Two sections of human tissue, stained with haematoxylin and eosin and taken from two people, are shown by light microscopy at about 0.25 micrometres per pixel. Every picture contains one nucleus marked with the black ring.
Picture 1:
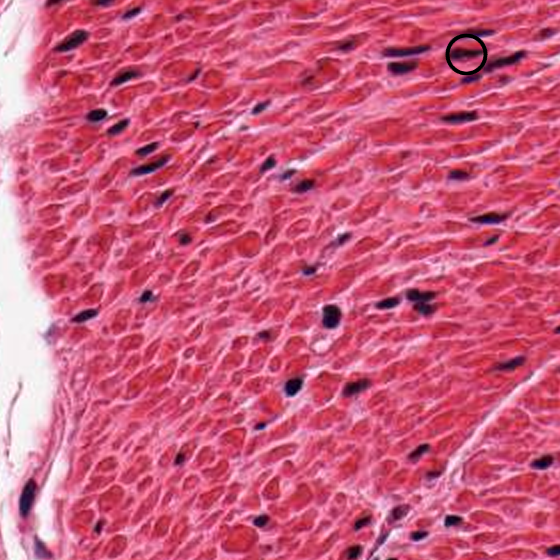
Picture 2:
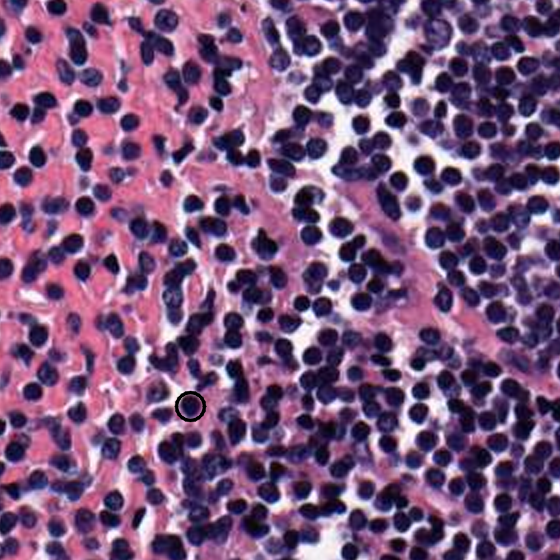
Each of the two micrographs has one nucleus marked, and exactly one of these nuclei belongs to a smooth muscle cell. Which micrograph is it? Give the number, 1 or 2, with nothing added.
1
